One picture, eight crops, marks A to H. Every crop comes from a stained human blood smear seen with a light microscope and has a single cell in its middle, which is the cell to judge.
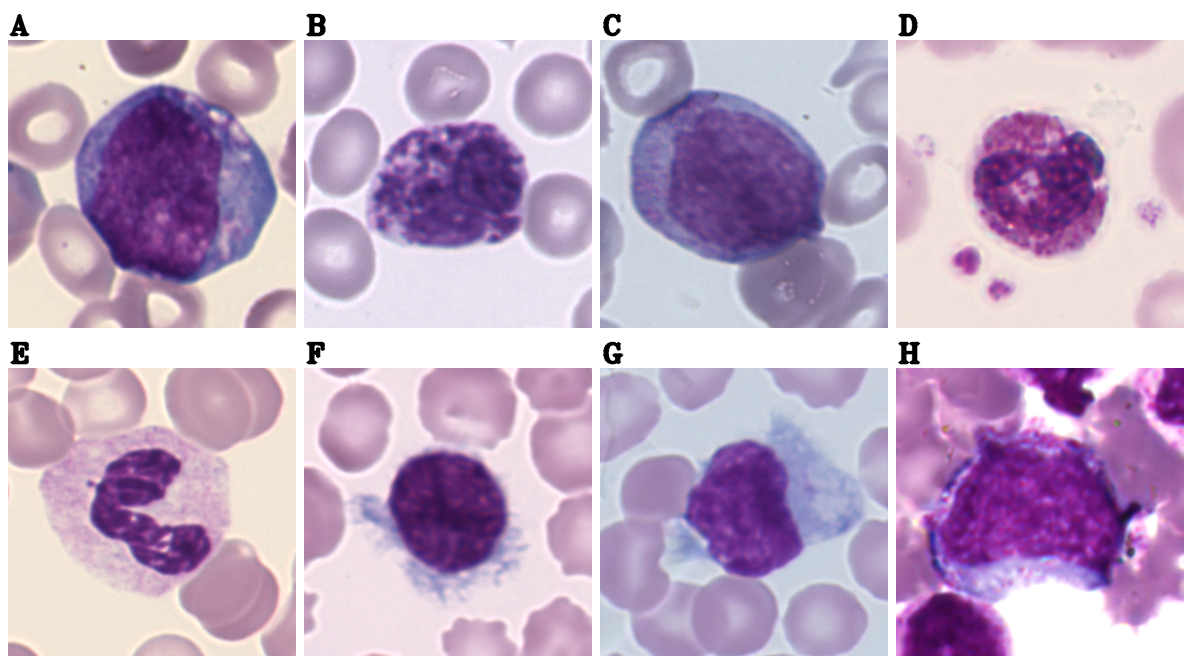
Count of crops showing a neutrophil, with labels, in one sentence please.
One crop shows a neutrophil, and that crop is crop E.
